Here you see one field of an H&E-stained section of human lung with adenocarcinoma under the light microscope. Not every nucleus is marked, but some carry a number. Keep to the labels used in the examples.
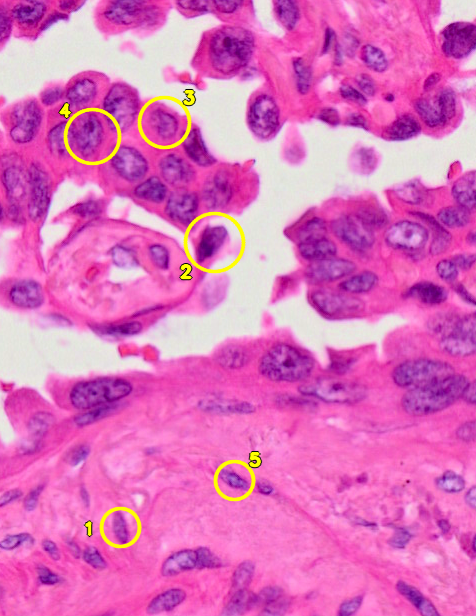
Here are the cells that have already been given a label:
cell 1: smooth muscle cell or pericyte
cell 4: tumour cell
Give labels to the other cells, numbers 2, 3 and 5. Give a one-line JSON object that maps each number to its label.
{"2": "tumour cell", "3": "tumour cell", "5": "smooth muscle cell or pericyte"}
